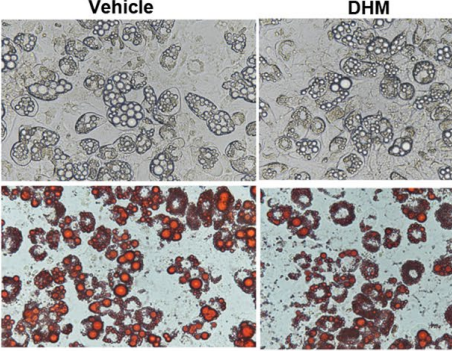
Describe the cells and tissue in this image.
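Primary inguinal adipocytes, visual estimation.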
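In the unstained images, many cells are rounded and filled with numerous clear, refractile droplets of varying size. Thinner, flatter cells lie between them. With the red stain, the droplets inside the rounded cells appear red to orange against a pale background, so each cell looks like a cluster of red globules.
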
